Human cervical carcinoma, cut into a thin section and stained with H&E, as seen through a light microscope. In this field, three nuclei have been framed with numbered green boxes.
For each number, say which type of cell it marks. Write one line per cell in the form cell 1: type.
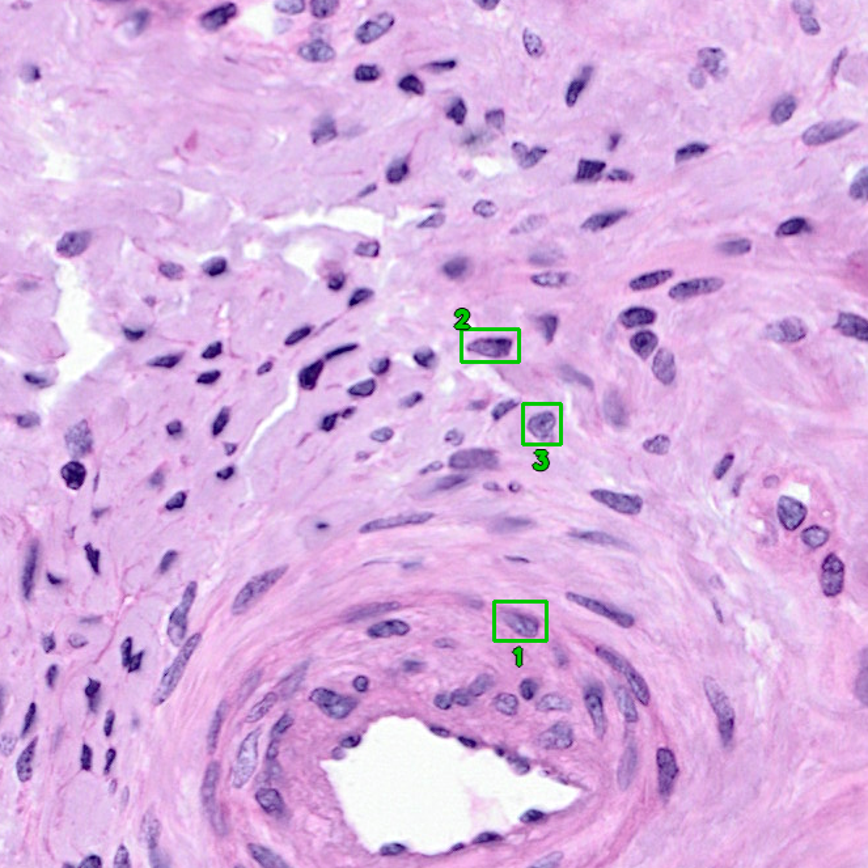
cell 1: smooth muscle cell
cell 2: fibroblast
cell 3: fibroblast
